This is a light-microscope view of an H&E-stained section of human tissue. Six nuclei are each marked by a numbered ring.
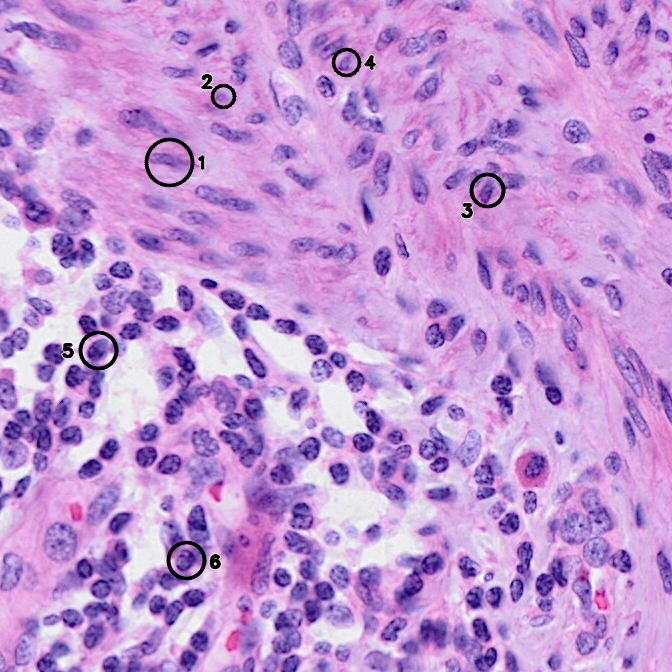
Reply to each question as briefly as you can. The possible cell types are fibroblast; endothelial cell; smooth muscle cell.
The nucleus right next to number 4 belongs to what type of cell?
smooth muscle cell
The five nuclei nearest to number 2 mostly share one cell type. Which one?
smooth muscle cell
